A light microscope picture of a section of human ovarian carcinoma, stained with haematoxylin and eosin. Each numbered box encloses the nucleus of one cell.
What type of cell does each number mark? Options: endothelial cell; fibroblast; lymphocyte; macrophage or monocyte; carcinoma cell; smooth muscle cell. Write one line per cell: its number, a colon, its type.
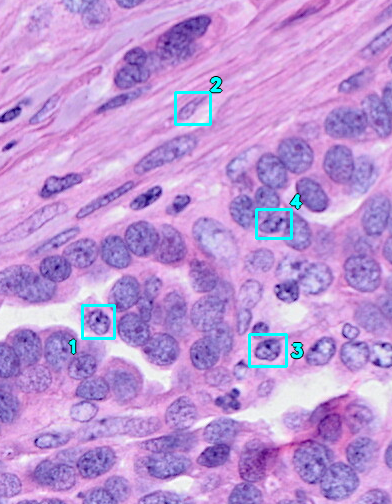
1: macrophage or monocyte
2: fibroblast
3: macrophage or monocyte
4: macrophage or monocyte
